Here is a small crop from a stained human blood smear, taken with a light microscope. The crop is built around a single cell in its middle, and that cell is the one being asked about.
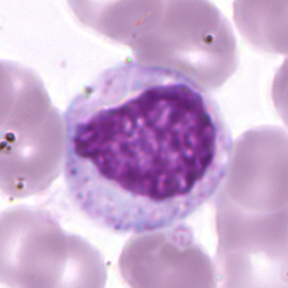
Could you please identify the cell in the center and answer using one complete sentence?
Centrally within this crop lies a myelocyte.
